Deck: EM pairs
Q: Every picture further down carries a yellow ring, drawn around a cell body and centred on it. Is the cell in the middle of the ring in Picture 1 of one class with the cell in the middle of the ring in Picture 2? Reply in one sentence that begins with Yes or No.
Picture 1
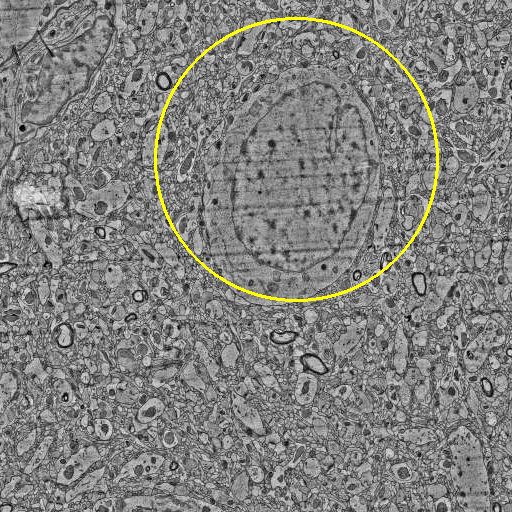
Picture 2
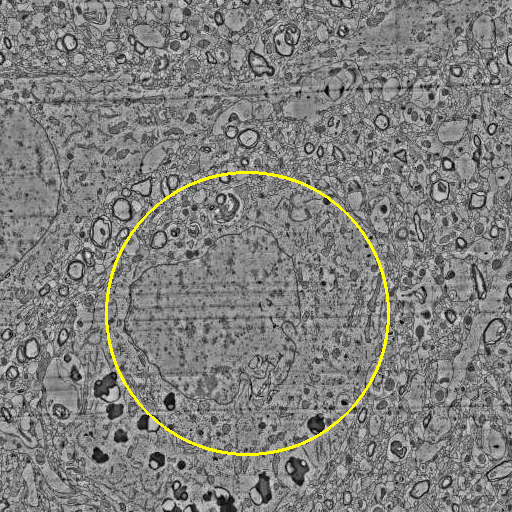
No, the cell centred in the ring of Picture 1 and the one in Picture 2 belong to separate classes.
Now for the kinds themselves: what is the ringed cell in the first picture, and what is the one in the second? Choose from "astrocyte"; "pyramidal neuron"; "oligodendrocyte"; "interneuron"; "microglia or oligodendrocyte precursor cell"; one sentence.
Here the first cell is an interneuron and the second cell is a pyramidal neuron.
